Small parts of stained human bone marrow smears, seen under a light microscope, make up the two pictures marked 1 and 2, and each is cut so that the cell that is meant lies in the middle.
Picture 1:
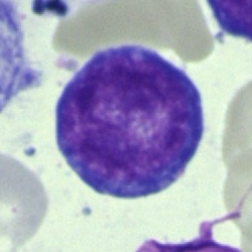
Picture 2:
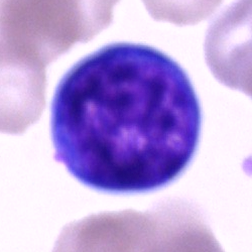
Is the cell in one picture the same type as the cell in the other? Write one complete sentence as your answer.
Yes, both cells are proerythroblasts.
